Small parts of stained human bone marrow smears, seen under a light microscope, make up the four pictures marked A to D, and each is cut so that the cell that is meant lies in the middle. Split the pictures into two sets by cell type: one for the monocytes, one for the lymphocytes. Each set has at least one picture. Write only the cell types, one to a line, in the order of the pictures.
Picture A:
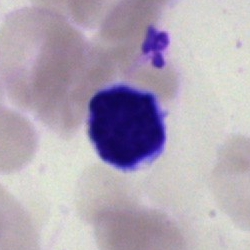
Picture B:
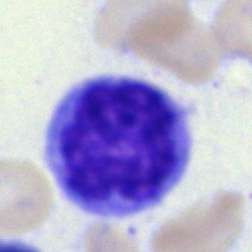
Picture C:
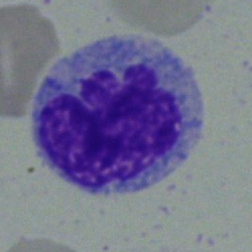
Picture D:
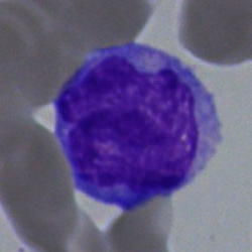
lymphocyte
monocyte
monocyte
monocyte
